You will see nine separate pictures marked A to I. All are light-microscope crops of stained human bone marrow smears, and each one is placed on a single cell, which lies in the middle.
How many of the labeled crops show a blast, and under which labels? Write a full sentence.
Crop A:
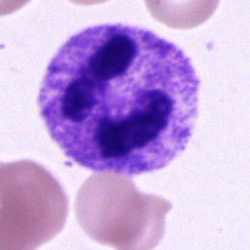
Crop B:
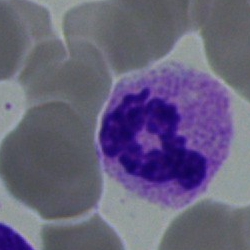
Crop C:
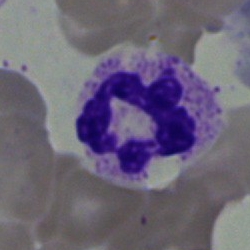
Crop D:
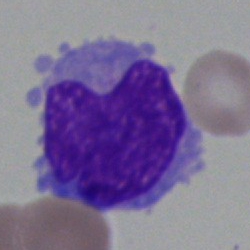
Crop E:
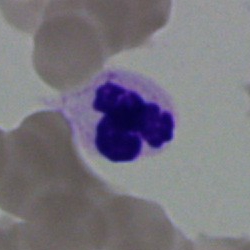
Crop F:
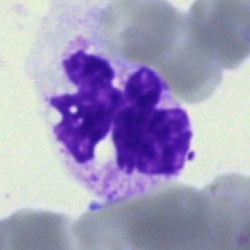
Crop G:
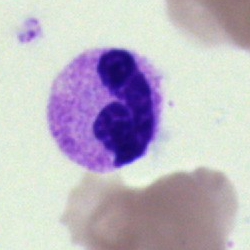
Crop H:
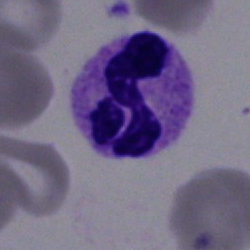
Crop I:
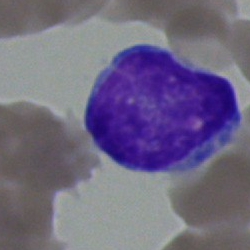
A single crop in this set shows a blast, and it is crop I.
